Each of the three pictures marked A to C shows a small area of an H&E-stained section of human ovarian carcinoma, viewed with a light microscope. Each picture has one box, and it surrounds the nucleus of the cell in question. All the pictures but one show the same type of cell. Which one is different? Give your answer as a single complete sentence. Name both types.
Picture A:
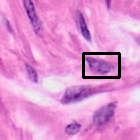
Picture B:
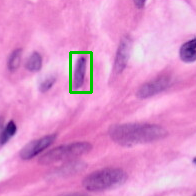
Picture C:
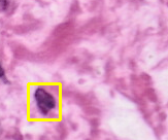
Picture C differs, because its cell is a “macrophage or monocyte” and the rest are fibroblasts.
